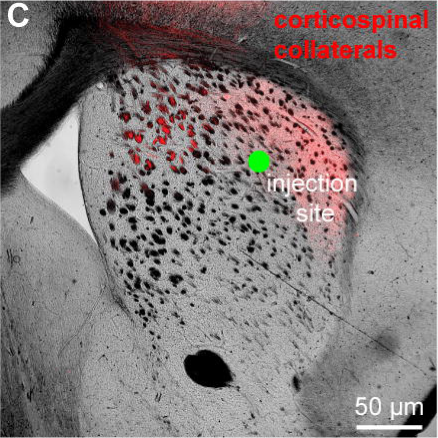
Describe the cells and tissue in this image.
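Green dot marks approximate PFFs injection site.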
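This is a coronal section through the striatum, seen in grey with red fluorescence laid over it. The grey matter is studded with many small dark round and oval fibre bundles running through it, giving a speckled pattern. A dark band of white matter curves across the top, and a ventricle-like space lies at the left edge.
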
